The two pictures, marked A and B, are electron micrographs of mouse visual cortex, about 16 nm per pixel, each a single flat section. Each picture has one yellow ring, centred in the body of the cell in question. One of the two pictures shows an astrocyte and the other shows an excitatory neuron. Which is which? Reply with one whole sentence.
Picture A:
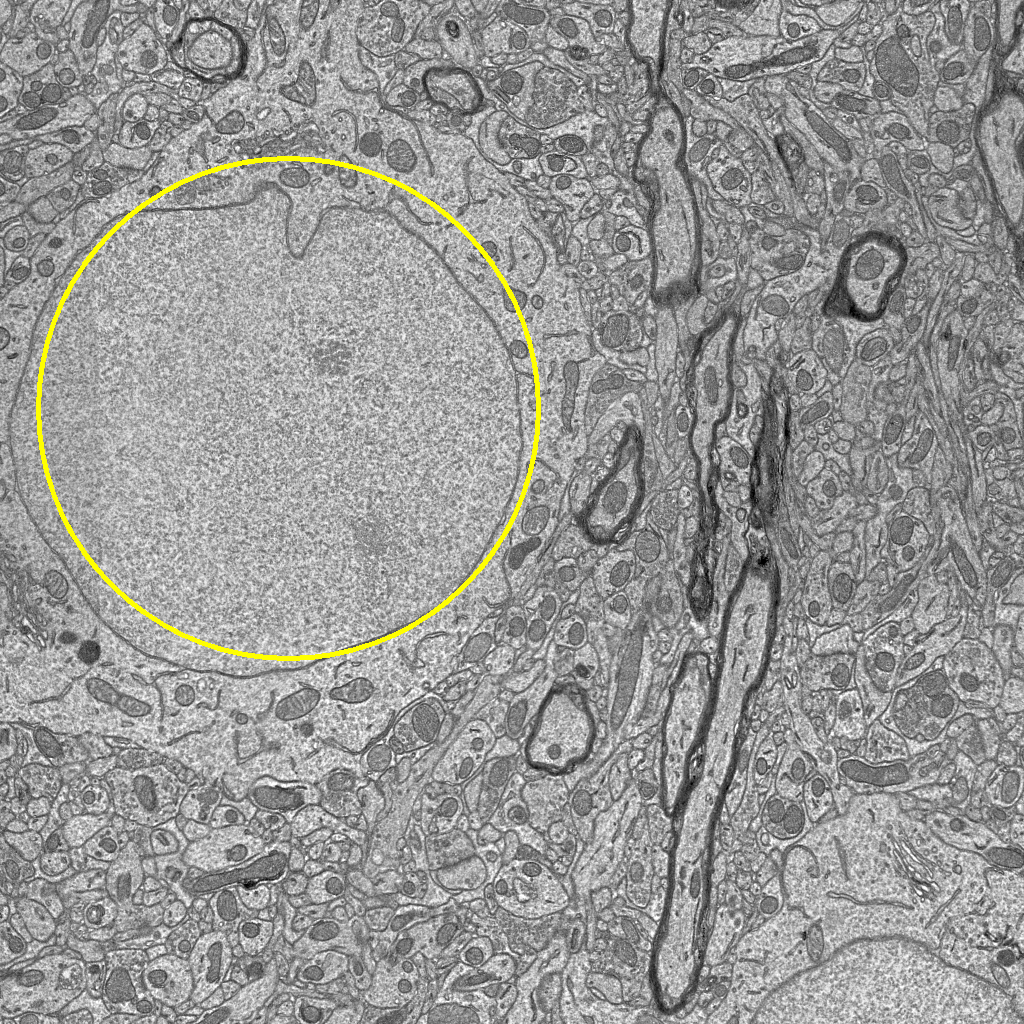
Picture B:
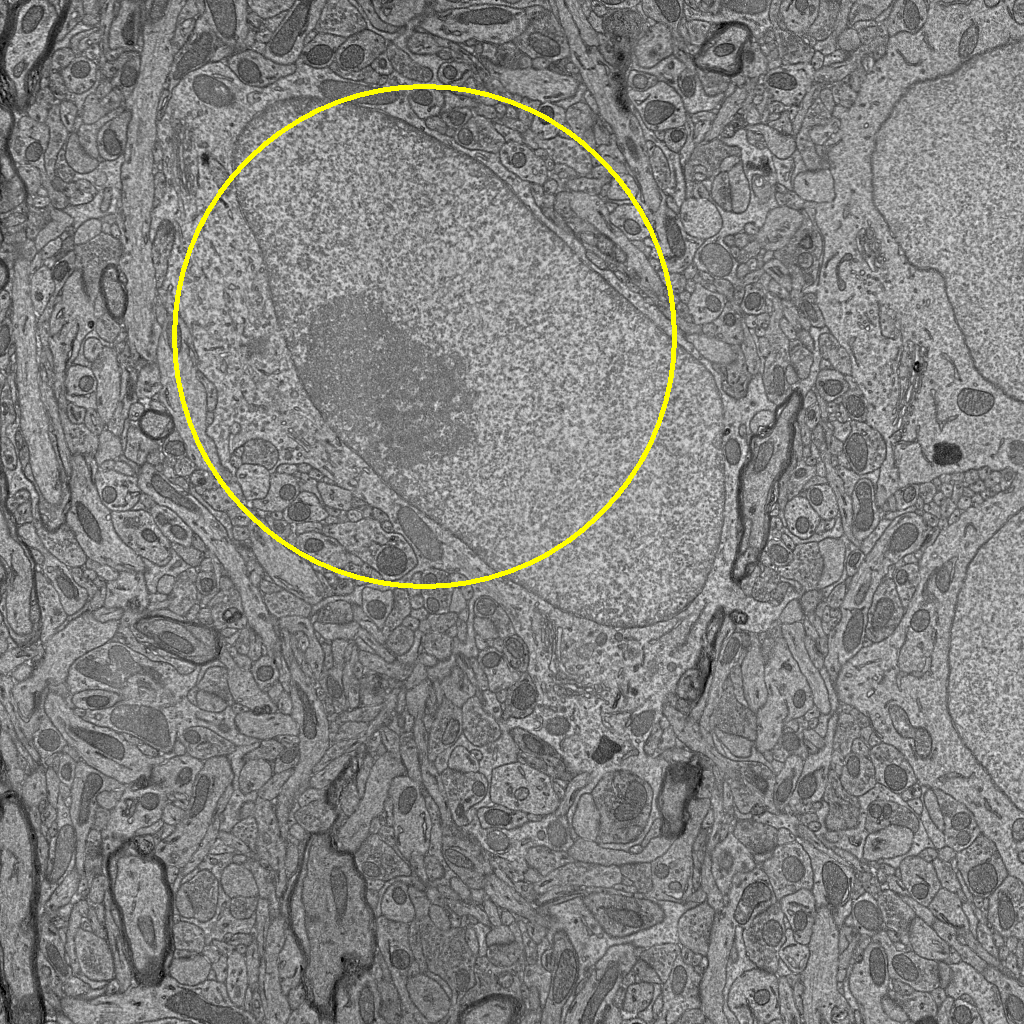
In picture A the cell is an excitatory neuron; in picture B, an astrocyte.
